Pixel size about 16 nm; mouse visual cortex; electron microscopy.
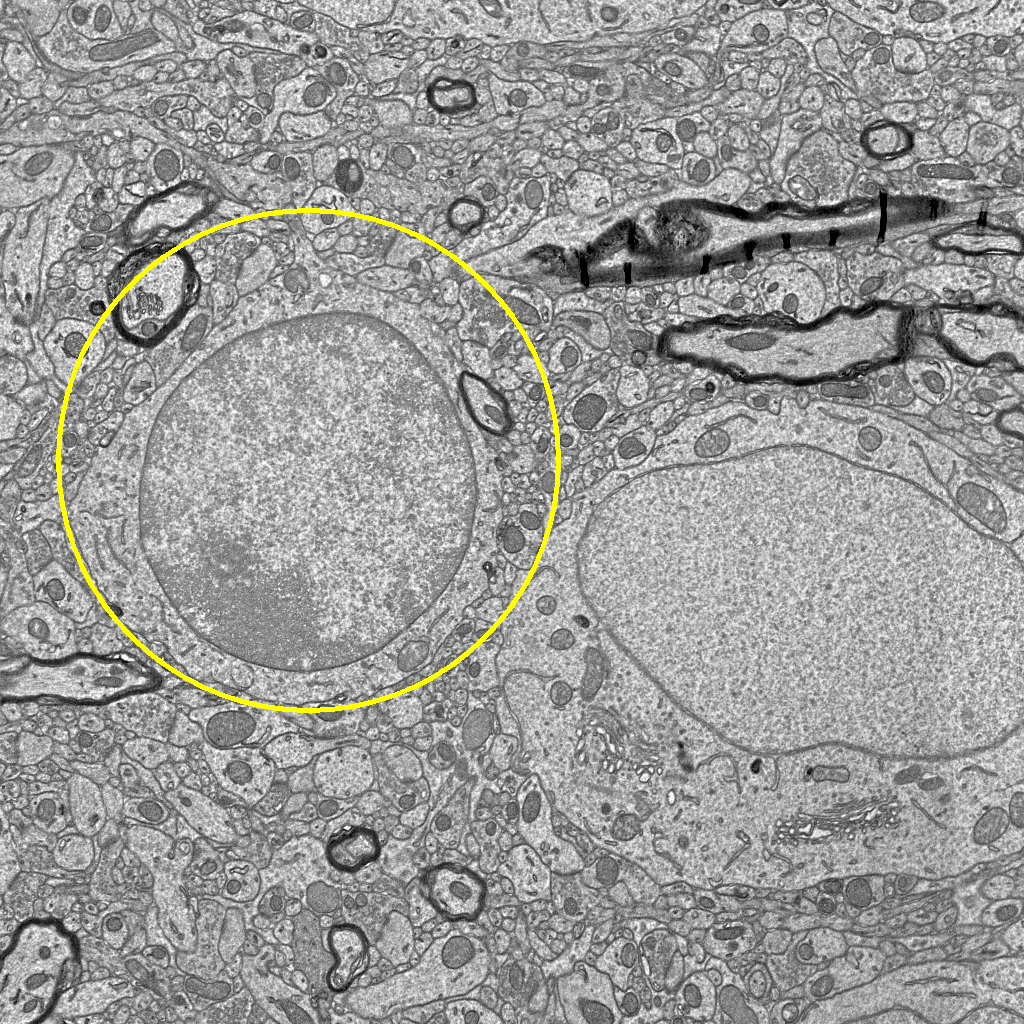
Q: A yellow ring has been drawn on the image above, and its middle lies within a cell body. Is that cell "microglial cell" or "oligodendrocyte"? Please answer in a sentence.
The ring's middle lies in the cell body of an oligodendrocyte.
